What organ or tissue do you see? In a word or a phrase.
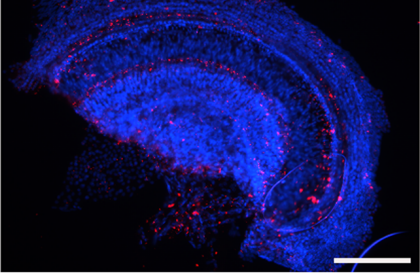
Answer: Cochlea.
